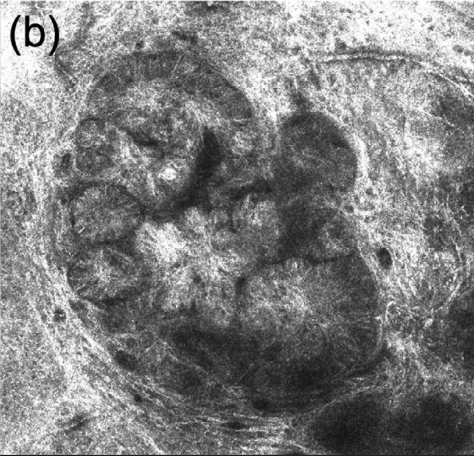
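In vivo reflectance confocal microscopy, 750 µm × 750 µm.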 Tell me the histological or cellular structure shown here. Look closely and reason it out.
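Tumor islands. Several rounded, sharply bordered lobules cluster together in the centre. The lobules are darker than the bright, fibrous tissue around them.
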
